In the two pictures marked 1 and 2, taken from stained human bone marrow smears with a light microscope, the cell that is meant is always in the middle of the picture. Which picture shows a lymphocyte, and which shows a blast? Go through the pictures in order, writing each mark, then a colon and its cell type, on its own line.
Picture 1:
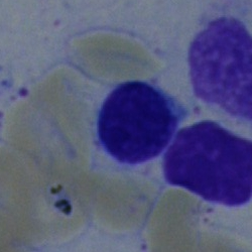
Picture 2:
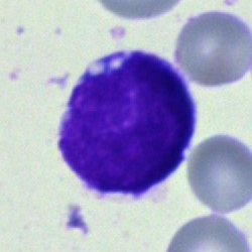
1: lymphocyte
2: blast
